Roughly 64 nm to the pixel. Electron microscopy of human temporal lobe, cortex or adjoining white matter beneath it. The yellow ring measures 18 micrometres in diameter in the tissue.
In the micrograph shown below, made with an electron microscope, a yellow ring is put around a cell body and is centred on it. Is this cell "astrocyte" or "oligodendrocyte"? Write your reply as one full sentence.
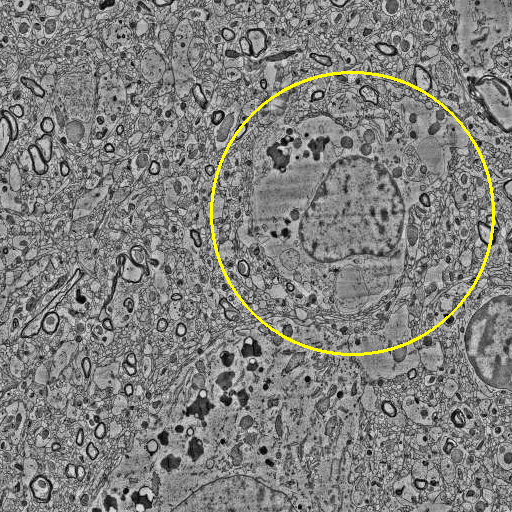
In the micrograph, an astrocyte is the cell at the centre of the yellow ring.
